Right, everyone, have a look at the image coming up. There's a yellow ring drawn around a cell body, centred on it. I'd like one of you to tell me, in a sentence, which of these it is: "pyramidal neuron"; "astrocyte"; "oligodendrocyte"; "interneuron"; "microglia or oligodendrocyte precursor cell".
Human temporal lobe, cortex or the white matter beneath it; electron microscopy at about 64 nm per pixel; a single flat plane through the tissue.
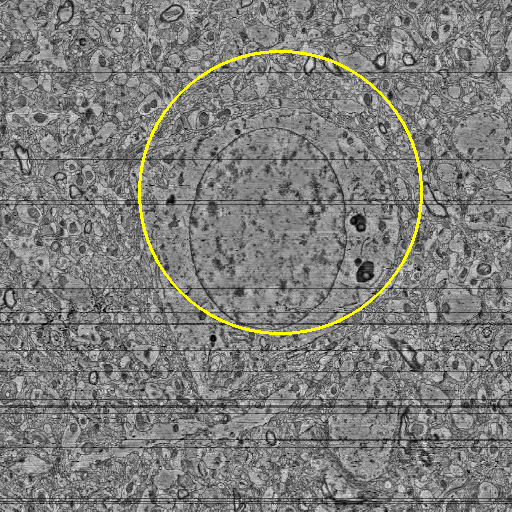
The yellow ring sits on a pyramidal neuron.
